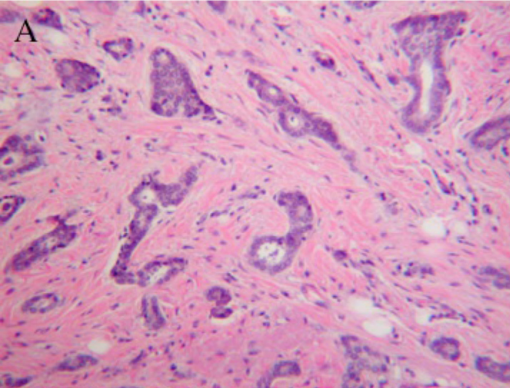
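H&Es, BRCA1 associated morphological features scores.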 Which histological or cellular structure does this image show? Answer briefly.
Good tubule formation.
